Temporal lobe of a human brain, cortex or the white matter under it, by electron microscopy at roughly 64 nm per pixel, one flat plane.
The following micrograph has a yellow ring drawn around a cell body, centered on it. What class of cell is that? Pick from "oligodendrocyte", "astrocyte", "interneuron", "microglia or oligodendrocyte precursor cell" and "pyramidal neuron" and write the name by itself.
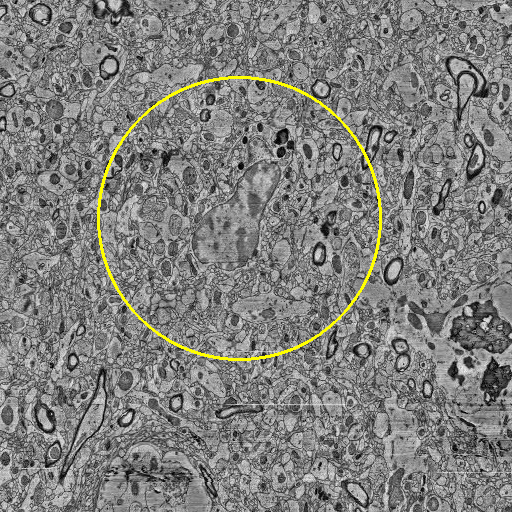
microglia or oligodendrocyte precursor cell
